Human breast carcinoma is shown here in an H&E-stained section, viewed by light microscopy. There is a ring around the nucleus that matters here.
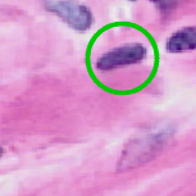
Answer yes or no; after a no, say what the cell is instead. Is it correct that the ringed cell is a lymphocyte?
Yes.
